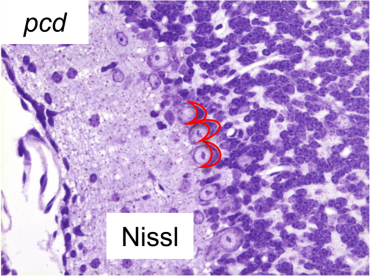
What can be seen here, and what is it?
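This is cerebellar cortex with Purkinje neurons at the border between the dense granular layer and the pale molecular layer. The granular layer at the right is packed with small dark nuclei. The Purkinje cells in this view are rounded, with pale nuclei and nucleoli. Several of them carry a dense, darkly stained violet mass in the cytoplasm on the side facing the granular layer. Red crescent lines are drawn around that dark material. The molecular layer to the left is pale and sparsely nucleated.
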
